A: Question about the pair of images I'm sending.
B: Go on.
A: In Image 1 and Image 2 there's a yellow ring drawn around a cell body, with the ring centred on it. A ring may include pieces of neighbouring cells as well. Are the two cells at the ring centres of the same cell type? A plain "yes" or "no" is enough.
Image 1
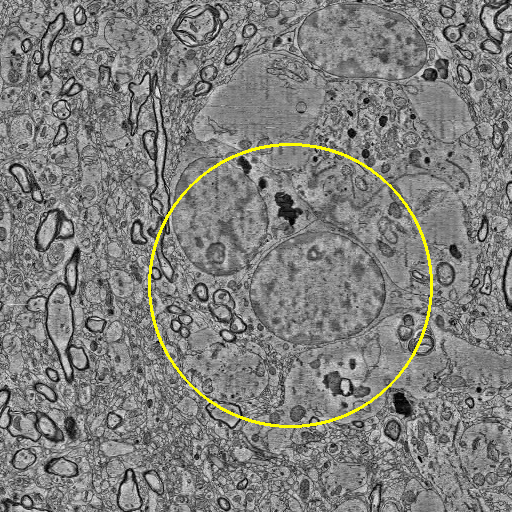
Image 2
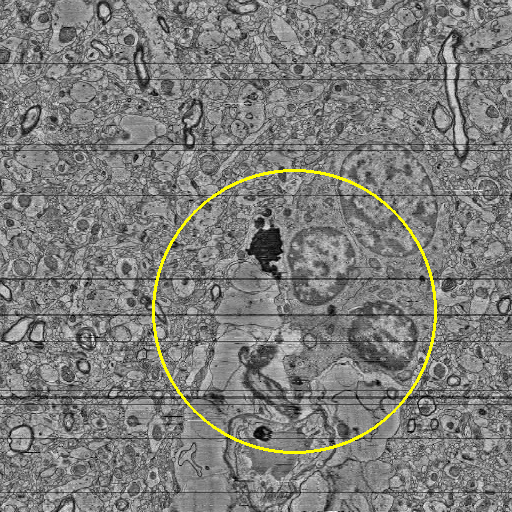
yes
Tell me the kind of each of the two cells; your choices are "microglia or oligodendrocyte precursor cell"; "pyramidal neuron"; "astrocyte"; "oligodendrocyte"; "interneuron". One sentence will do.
Each of the two pictures has an oligodendrocyte at the ring centre.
